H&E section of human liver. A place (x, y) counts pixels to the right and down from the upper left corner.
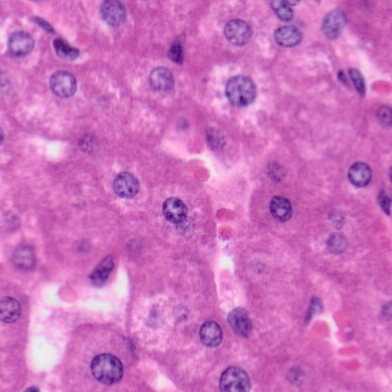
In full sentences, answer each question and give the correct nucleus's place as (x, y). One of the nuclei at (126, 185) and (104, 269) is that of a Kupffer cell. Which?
Of the two nuclei, the one sitting at (104, 269) belongs to a Kupffer cell.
